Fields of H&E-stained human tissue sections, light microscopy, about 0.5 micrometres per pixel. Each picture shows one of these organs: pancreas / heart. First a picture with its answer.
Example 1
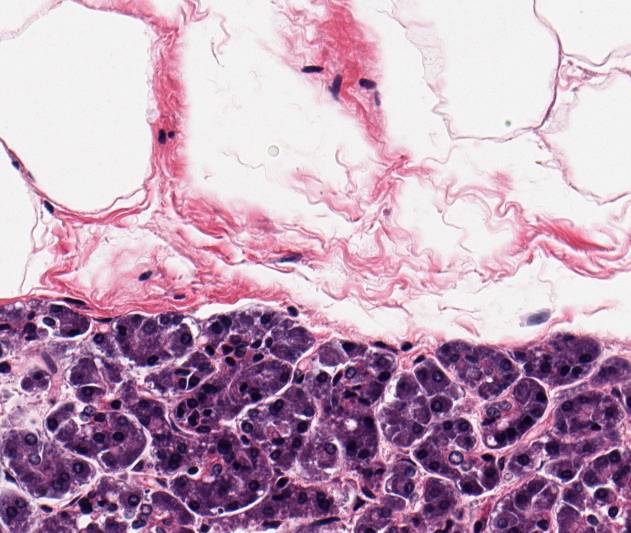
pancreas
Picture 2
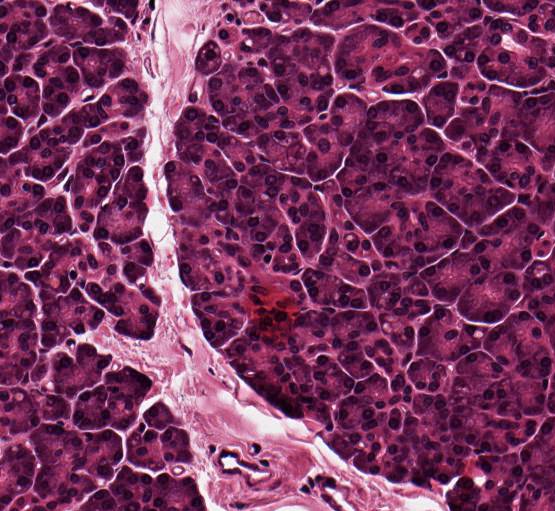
pancreas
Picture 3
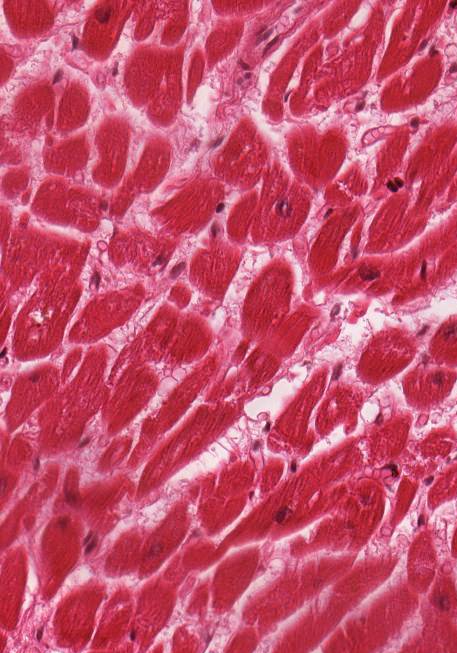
heart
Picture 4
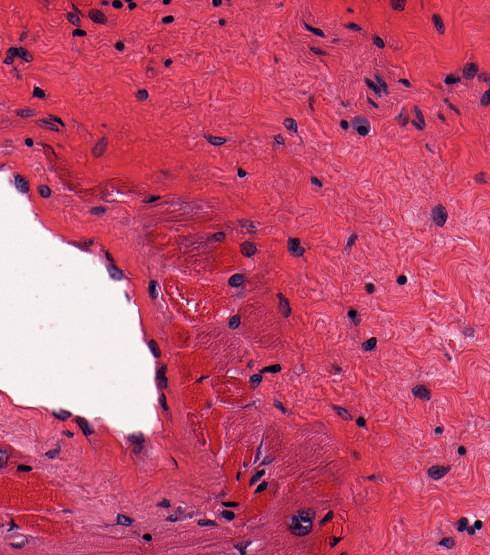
heart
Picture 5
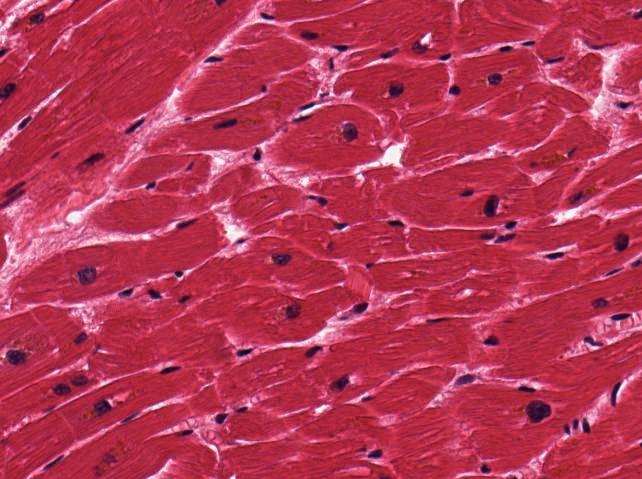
heart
